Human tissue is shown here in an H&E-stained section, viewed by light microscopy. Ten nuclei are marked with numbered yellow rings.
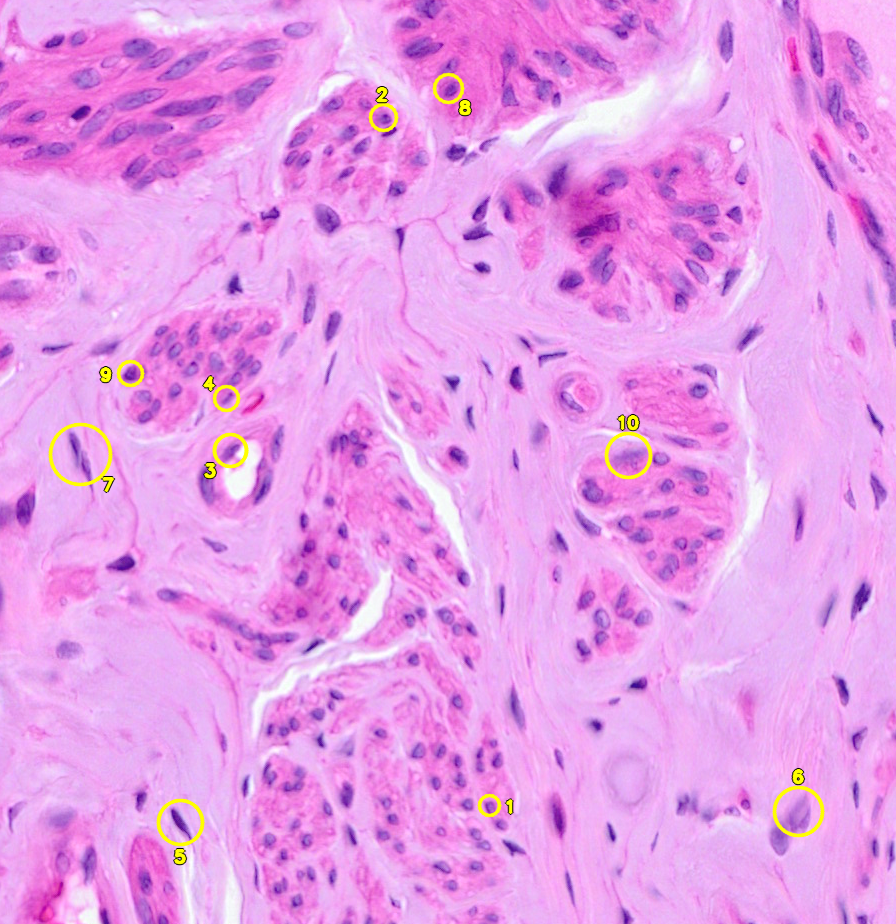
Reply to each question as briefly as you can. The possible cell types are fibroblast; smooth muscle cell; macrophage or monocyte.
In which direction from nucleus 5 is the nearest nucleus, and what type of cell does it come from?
a macrophage or monocyte; above and to the left of nucleus 5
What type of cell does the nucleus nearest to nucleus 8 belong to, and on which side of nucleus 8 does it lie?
a smooth muscle cell above nucleus 8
